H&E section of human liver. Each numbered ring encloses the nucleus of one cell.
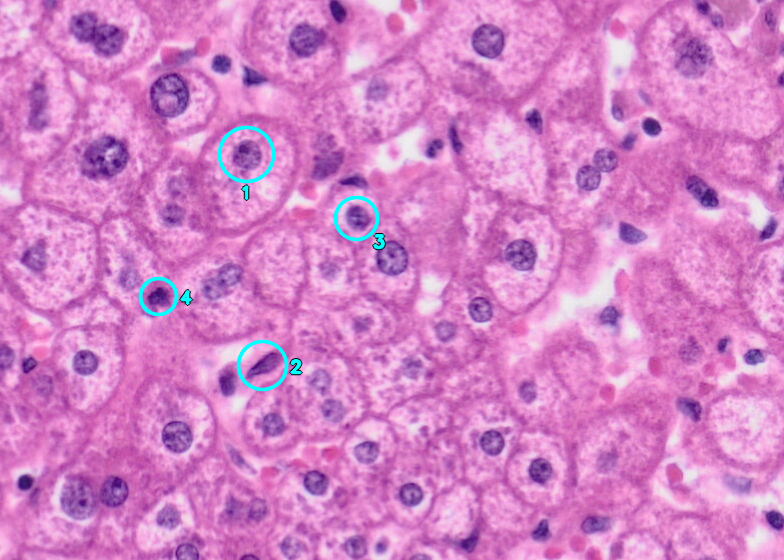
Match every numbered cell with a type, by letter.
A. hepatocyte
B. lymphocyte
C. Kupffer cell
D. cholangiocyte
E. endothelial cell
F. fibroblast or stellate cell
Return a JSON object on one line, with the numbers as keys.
{"1": "A", "2": "C", "3": "A", "4": "F"}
